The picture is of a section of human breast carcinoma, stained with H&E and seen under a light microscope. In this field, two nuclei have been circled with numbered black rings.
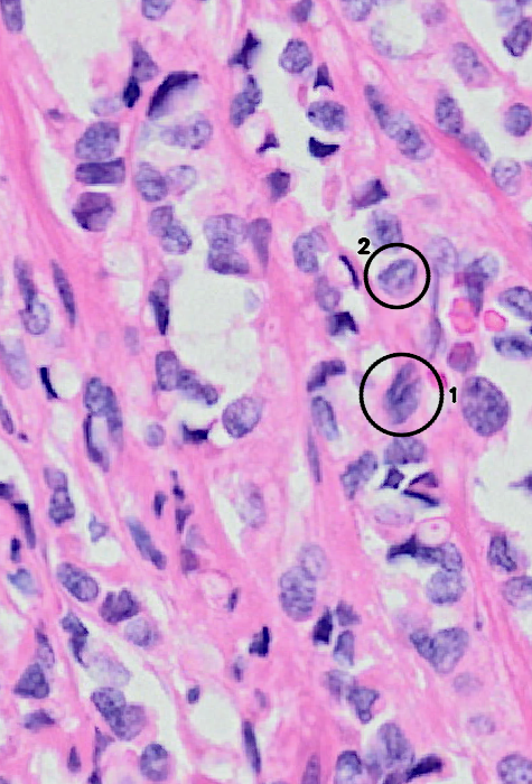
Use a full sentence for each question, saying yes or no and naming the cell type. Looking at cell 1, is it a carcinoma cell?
No, a carcinoma cell is not what cell 1 is; it is an endothelial cell.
